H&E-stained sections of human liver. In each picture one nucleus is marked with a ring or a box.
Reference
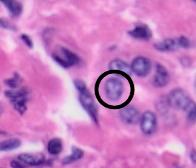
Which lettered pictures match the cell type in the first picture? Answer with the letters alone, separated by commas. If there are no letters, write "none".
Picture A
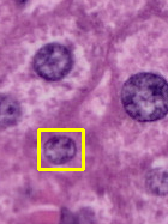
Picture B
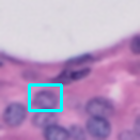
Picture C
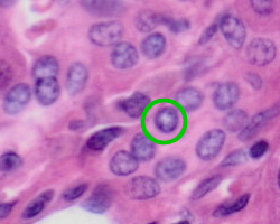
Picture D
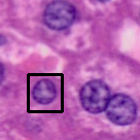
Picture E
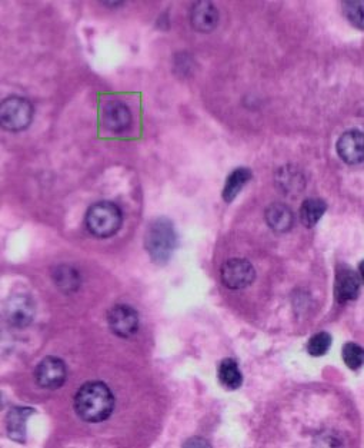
B, C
